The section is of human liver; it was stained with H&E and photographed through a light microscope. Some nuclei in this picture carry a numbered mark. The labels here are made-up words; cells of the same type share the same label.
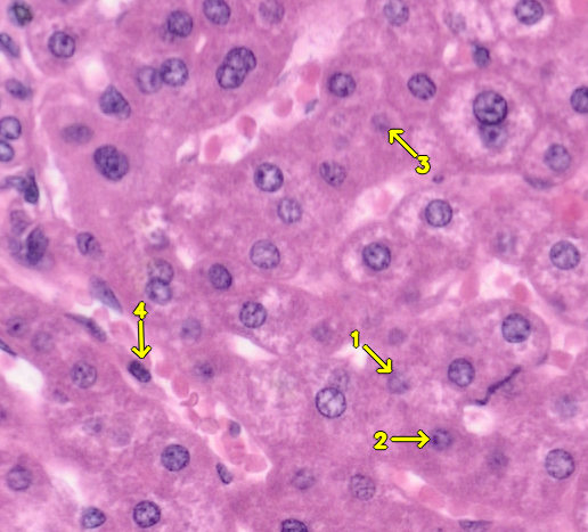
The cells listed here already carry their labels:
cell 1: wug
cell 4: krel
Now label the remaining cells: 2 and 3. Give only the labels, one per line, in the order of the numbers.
wug
wug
